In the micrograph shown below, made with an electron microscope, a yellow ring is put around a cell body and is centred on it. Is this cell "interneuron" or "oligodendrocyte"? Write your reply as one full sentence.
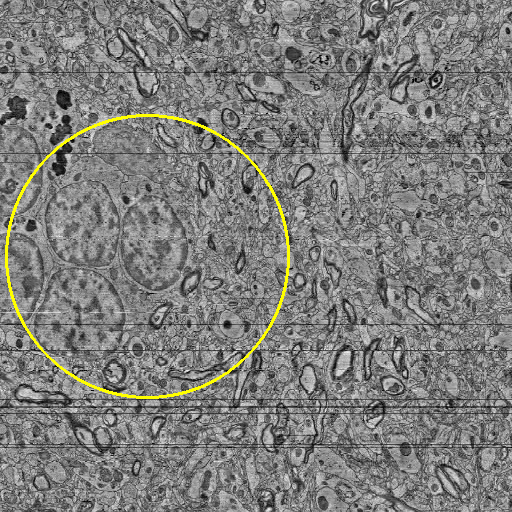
In the micrograph, an oligodendrocyte is the cell at the centre of the yellow ring.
